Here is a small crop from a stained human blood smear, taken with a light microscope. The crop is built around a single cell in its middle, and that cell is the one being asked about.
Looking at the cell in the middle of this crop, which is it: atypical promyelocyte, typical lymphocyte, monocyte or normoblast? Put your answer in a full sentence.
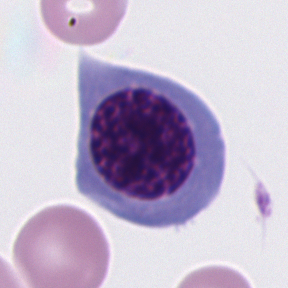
The cell at the centre of the field is a normoblast.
